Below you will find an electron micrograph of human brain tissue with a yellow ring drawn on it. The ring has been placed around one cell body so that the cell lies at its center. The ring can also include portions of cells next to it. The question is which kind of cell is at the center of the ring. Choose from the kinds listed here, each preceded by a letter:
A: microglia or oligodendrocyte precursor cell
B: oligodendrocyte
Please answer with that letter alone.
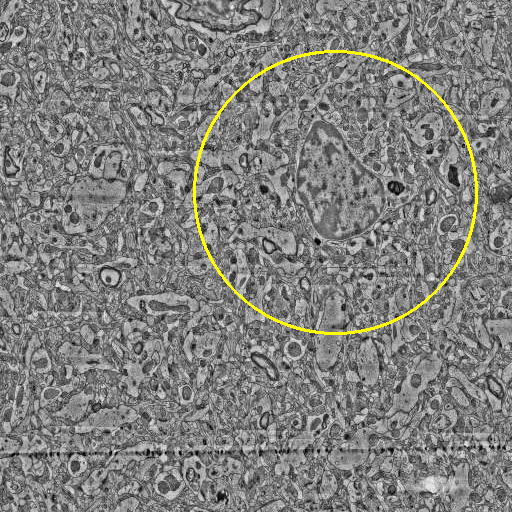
A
